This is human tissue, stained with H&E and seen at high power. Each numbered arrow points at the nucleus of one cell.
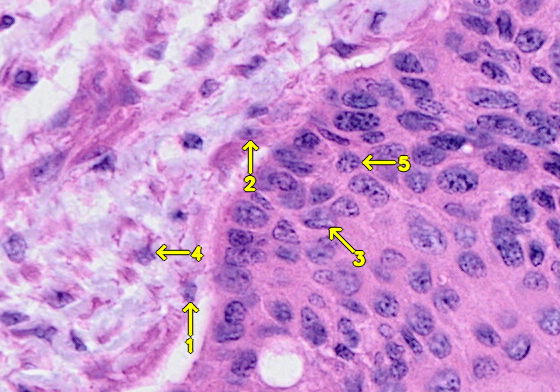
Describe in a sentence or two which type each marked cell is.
Cells 1, 2 and 4 are fibroblasts. Cells 3 and 5 are squamous carcinoma cells.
